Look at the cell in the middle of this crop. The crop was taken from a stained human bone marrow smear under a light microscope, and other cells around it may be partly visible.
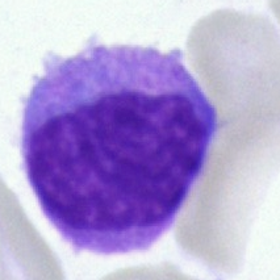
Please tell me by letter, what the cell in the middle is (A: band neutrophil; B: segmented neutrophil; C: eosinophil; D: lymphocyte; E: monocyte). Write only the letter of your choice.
E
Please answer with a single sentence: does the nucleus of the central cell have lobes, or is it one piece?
The nucleus amounts to one compact mass with a round, oval or kidney-shaped outline.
